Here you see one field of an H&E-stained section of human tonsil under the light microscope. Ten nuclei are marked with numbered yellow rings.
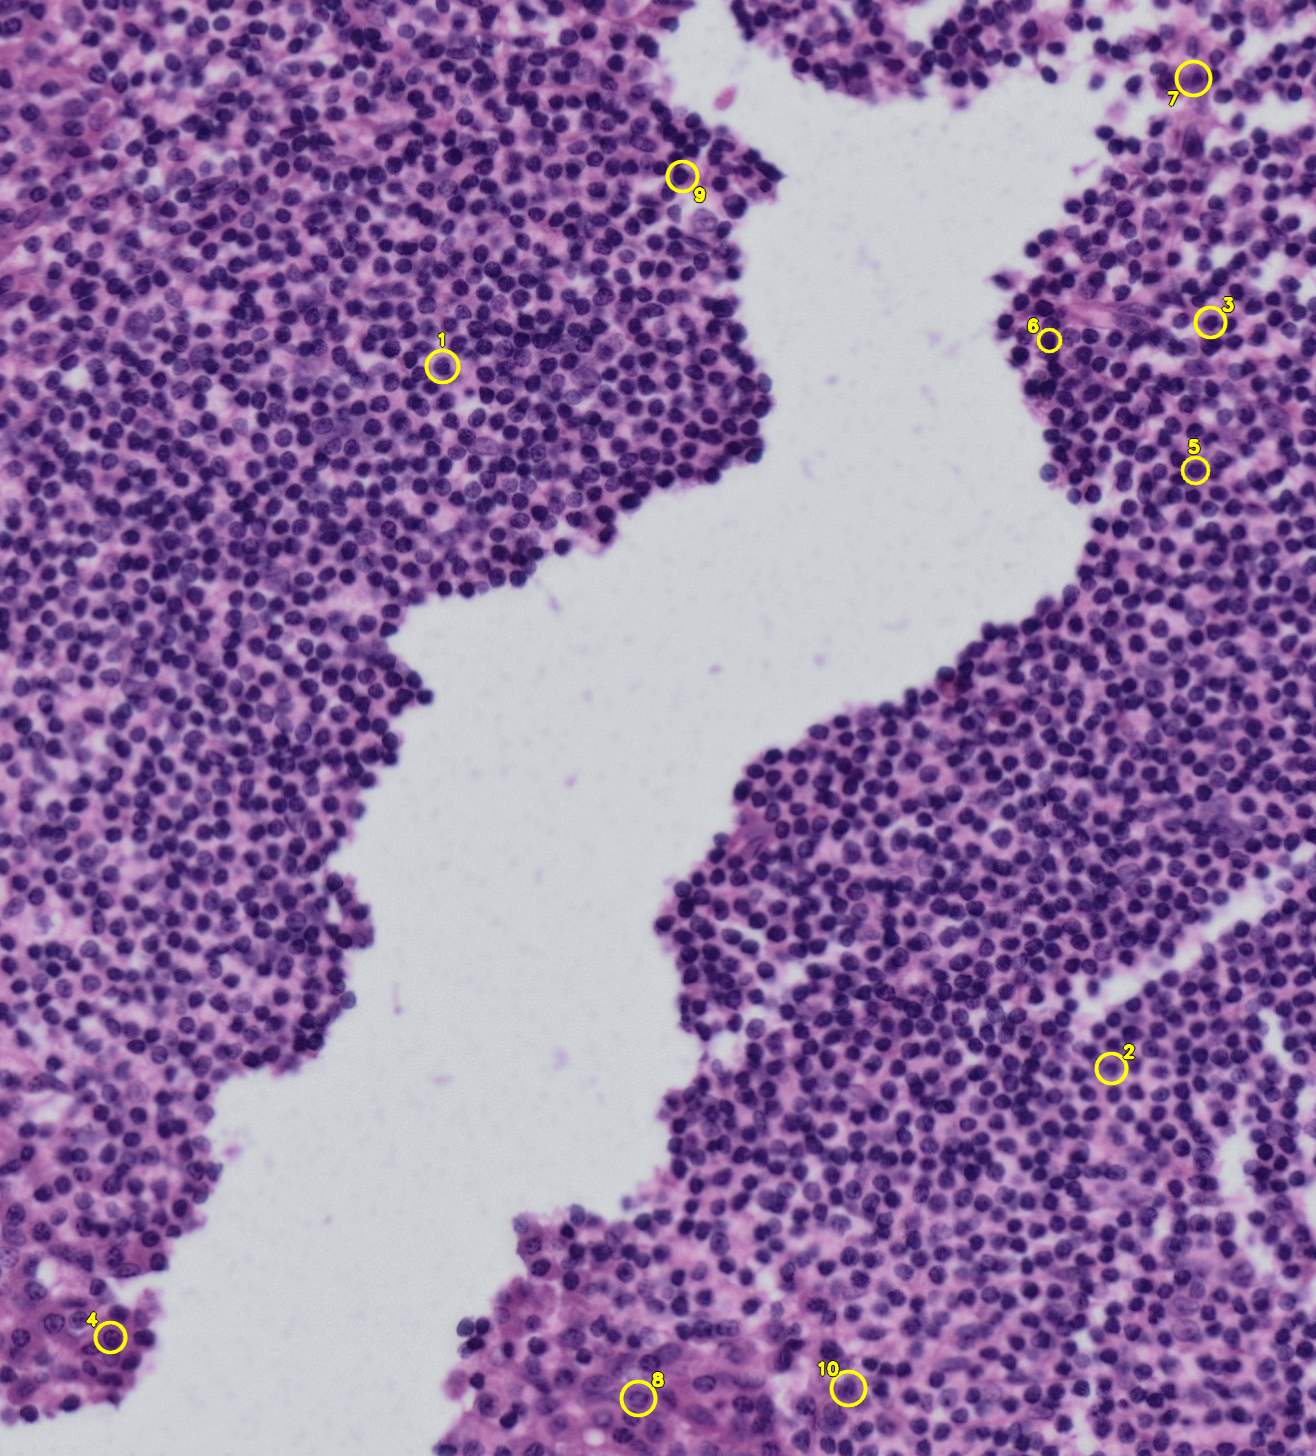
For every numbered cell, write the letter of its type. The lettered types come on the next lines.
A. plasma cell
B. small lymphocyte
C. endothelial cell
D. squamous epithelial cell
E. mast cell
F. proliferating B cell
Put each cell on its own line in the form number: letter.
1: B
2: B
3: B
4: A
5: B
6: B
7: C
8: A
9: B
10: A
